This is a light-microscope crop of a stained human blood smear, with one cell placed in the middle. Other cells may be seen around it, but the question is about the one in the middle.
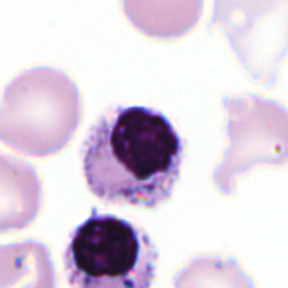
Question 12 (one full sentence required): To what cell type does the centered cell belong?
The target cell in the middle of the crop is a normoblast.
